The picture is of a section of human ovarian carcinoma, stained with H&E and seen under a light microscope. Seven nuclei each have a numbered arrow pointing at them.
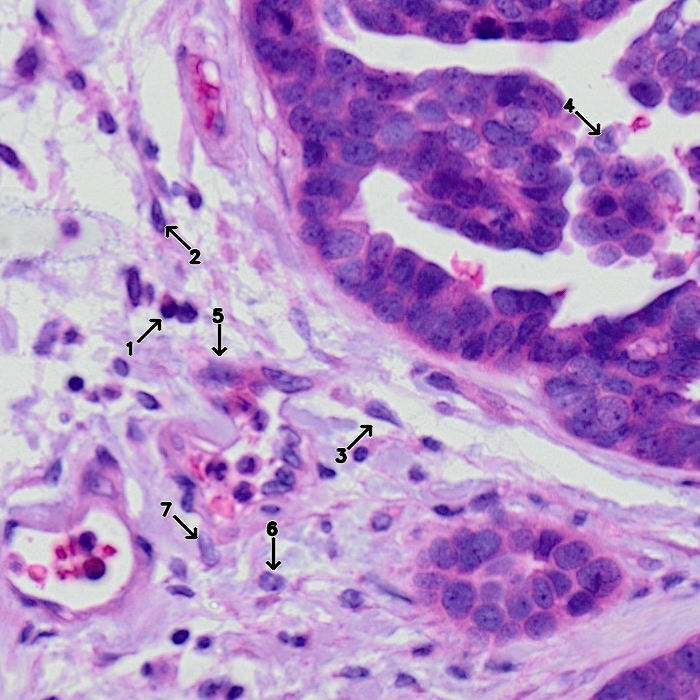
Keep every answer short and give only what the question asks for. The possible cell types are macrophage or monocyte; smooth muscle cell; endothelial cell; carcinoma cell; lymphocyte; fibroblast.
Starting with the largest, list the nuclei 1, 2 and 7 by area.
7, 2, 1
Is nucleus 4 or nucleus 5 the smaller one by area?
4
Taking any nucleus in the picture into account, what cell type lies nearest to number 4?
macrophage or monocyte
